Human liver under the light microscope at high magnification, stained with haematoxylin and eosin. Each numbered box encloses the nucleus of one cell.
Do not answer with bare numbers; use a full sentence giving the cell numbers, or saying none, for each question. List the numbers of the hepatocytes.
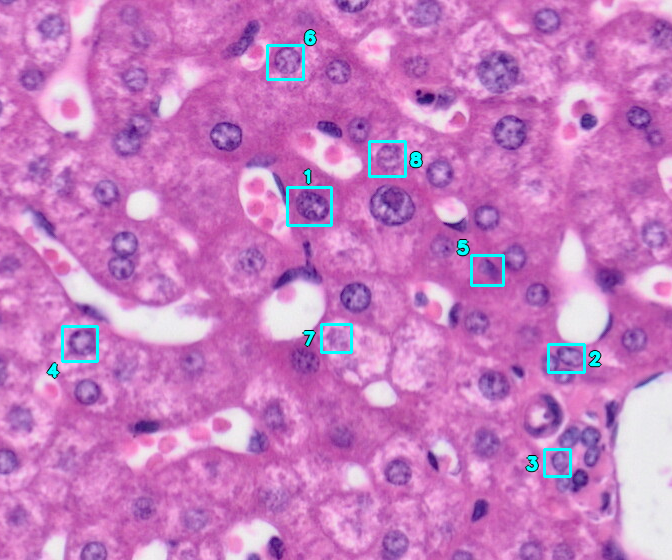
Cells 1, 4, 6, 7 and 8 are recognised here as hepatocytes.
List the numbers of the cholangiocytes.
Cells 2 and 3 are recognised here as cholangiocytes.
